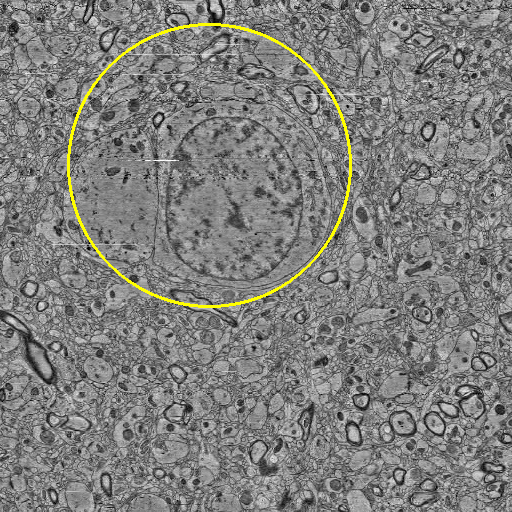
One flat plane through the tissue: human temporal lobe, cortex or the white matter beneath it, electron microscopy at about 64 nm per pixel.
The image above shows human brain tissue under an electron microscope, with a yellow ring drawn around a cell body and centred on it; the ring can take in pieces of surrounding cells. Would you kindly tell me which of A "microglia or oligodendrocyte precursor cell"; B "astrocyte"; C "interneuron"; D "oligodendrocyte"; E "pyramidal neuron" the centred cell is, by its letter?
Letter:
C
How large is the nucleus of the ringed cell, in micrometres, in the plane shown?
The ringed cell's nucleus is about 11 micrometres long and 9 micrometres wide in this plane.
